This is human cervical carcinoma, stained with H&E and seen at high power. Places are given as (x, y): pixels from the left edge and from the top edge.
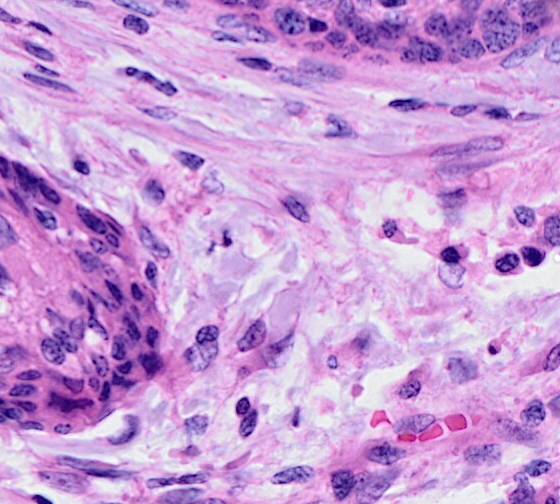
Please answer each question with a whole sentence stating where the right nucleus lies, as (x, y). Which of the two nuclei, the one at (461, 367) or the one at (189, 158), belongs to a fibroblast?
The nucleus that belongs to a fibroblast is located at (461, 367).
